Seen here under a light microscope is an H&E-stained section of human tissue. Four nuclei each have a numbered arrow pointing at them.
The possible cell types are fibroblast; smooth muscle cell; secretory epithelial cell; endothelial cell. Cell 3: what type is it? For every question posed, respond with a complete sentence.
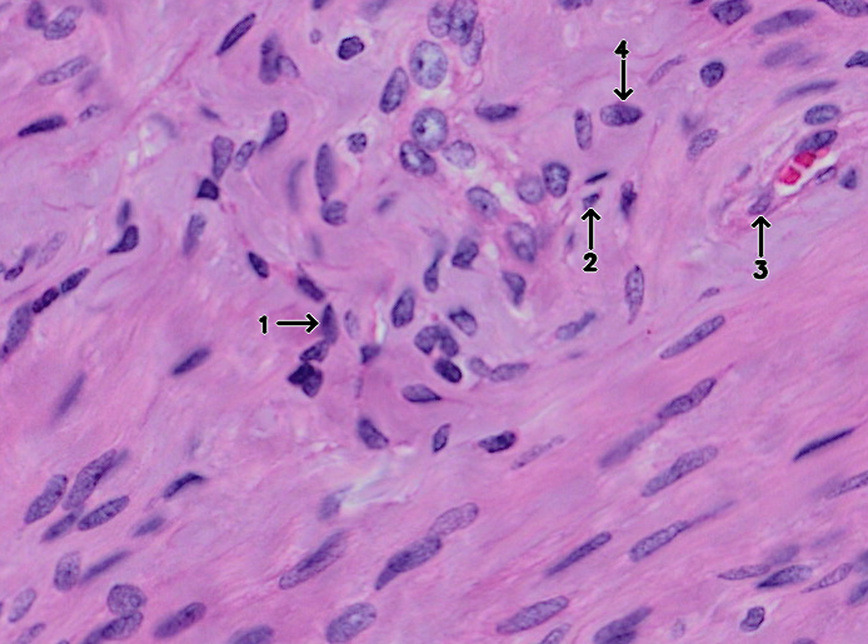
The one numbered 3 among the marked cells is an endothelial cell.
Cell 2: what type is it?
The cell tagged with 2 in this tissue section is a fibroblast.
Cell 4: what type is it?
The marked cell bearing number 4 is a fibroblast.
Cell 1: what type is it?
Cell 1 should be recorded as a fibroblast.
